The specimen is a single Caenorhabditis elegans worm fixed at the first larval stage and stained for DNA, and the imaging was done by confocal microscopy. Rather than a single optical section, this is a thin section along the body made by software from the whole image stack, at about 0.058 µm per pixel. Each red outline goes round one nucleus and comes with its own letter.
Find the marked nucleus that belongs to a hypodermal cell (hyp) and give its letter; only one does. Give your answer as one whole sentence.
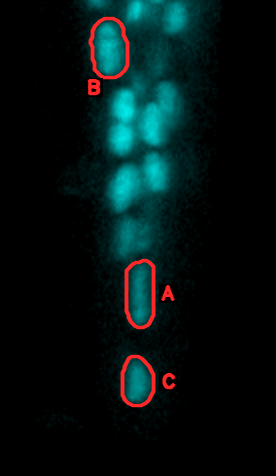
Of the marked nuclei, C is the one in a hypodermal cell (hyp).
